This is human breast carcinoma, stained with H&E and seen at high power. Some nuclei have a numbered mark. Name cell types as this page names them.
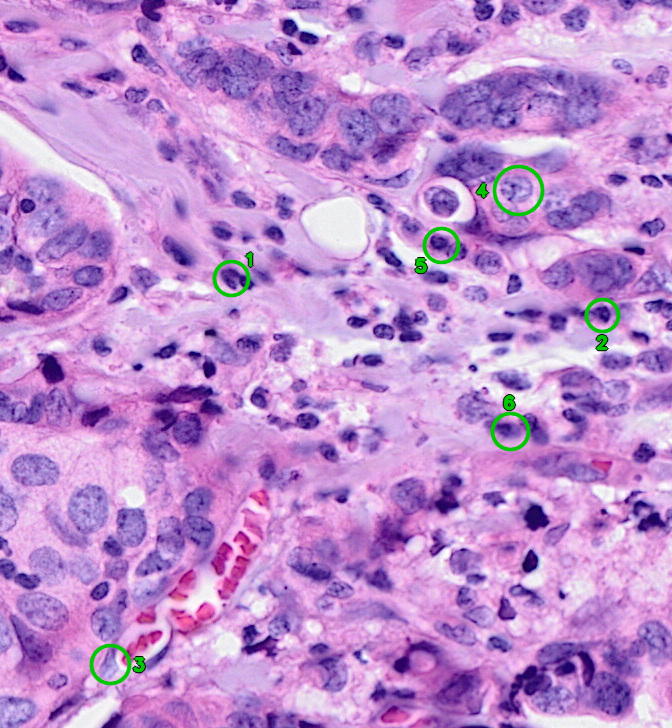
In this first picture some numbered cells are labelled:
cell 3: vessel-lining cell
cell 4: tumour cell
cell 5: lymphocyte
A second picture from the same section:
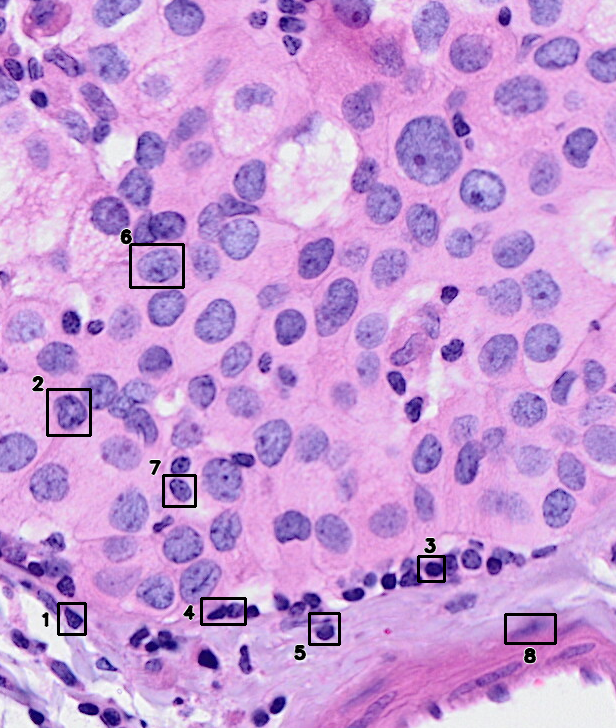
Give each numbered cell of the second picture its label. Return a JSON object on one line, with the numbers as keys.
{"1": "lymphocyte", "2": "tumour cell", "3": "lymphocyte", "4": "lymphocyte", "5": "lymphocyte", "6": "tumour cell", "7": "lymphocyte", "8": "vessel-lining cell"}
